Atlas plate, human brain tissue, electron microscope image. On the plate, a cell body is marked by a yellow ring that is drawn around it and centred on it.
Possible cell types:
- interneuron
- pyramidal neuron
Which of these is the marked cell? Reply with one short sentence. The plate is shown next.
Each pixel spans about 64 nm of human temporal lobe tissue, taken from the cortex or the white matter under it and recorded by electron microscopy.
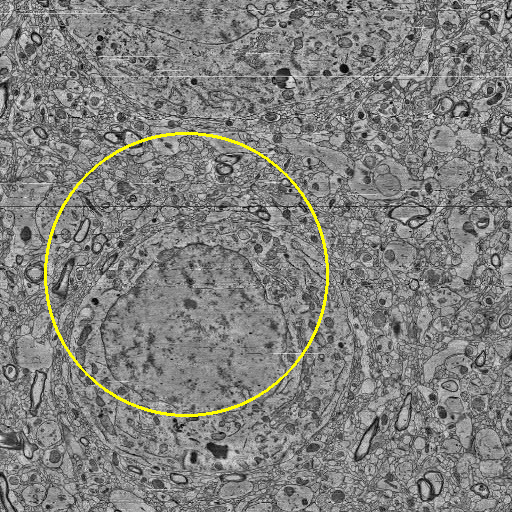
The marked cell is an interneuron.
